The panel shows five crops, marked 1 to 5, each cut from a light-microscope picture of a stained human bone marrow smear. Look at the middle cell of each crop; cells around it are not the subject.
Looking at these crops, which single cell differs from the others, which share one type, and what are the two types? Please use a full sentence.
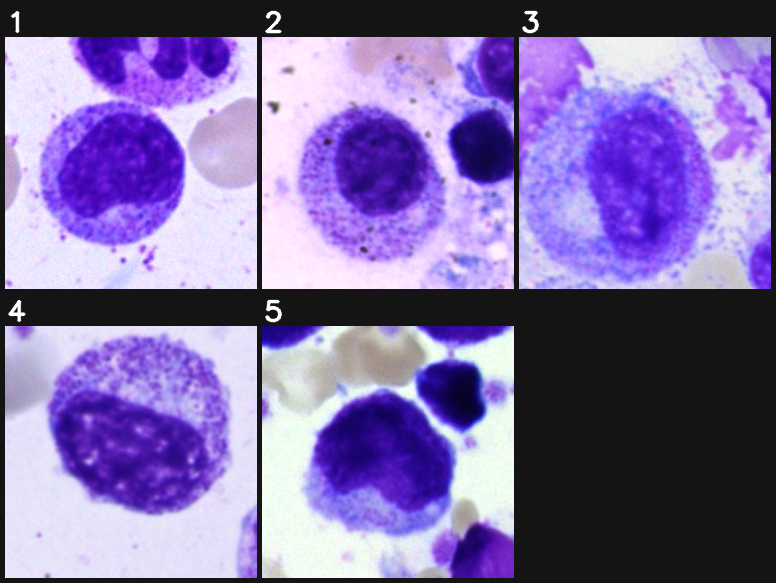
Crop 4 is the one to flag: it is a promyelocyte, and the rest show myelocytes.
